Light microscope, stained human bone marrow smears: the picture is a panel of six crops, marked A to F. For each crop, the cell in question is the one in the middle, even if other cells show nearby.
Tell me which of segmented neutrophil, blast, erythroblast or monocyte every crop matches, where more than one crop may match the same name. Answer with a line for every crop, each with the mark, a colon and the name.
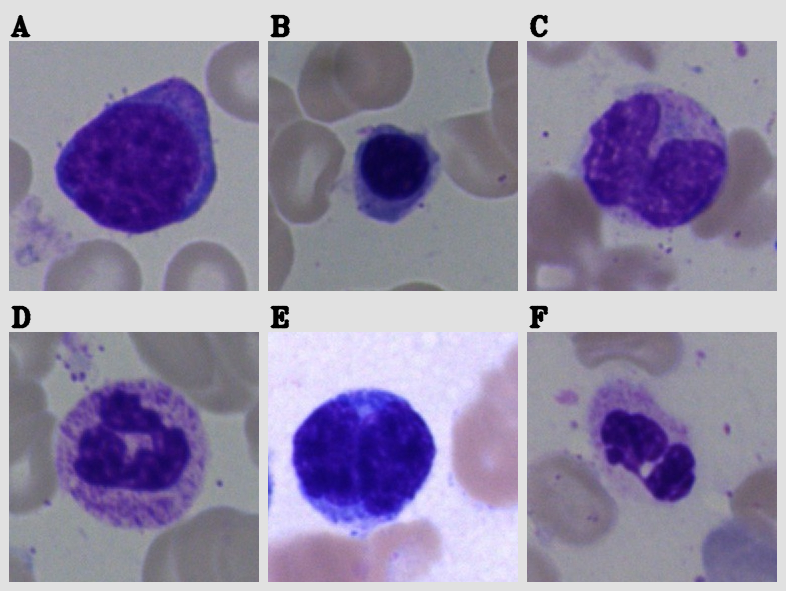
A: blast
B: erythroblast
C: monocyte
D: segmented neutrophil
E: blast
F: segmented neutrophil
